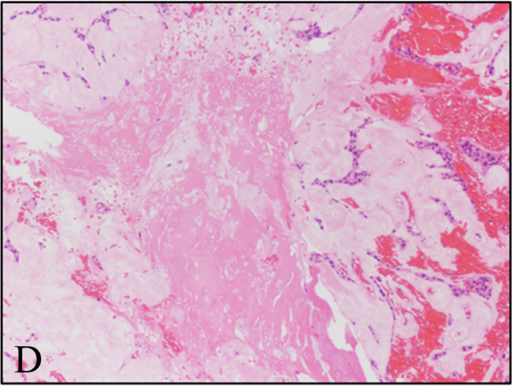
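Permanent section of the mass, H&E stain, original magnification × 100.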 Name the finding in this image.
Infarction-like necrotic area and hemorrhage.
